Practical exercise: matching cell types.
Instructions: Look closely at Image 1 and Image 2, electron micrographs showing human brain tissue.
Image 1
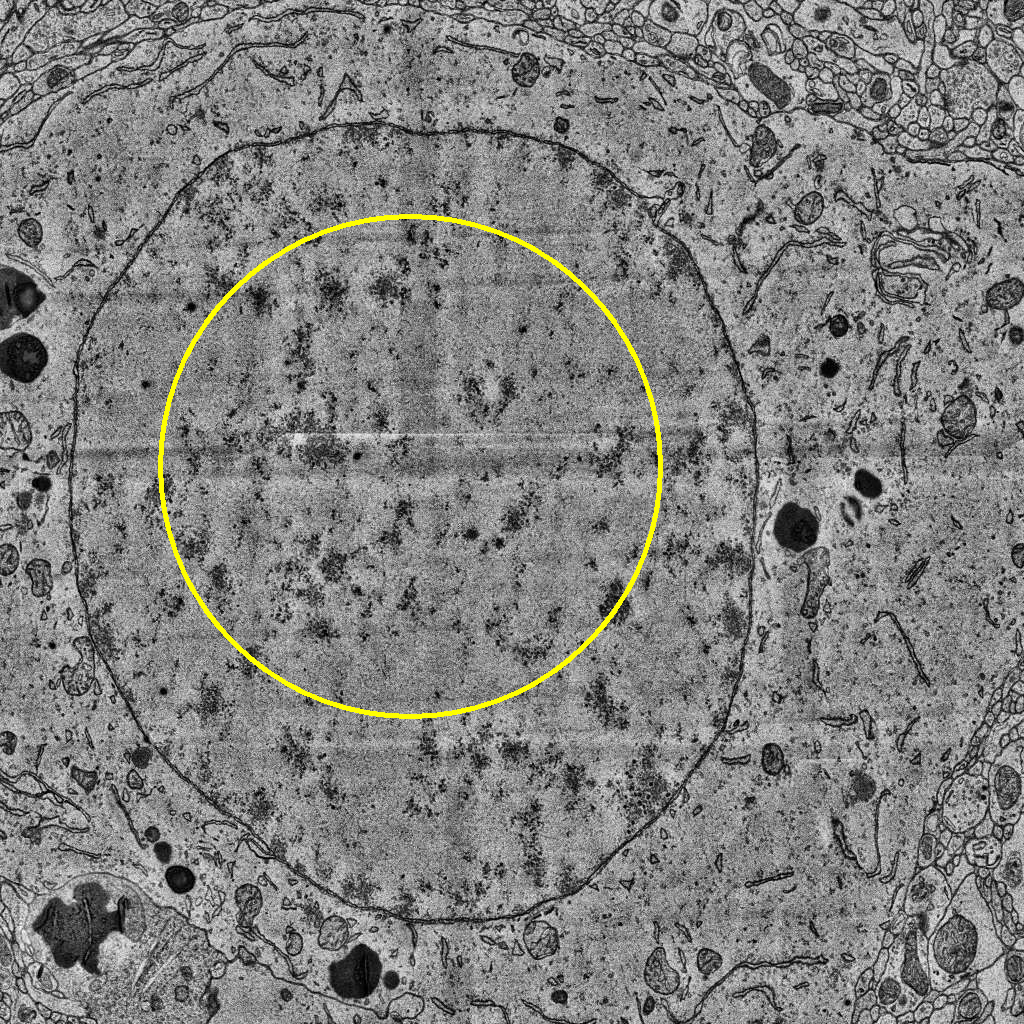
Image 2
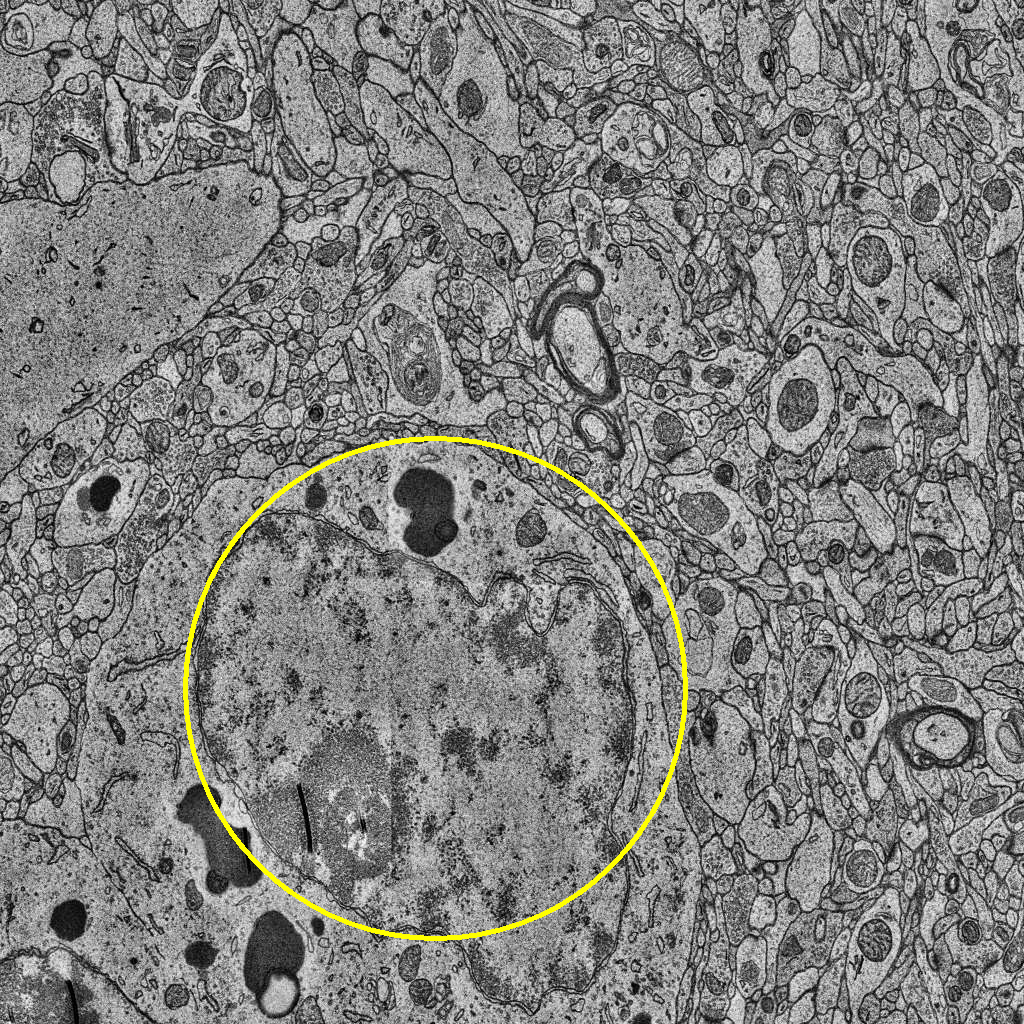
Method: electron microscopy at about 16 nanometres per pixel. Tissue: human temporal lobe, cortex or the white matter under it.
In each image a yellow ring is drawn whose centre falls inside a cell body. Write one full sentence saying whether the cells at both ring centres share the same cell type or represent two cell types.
Across Image 1 and Image 2, the cells at the ring centres represent two cell types.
